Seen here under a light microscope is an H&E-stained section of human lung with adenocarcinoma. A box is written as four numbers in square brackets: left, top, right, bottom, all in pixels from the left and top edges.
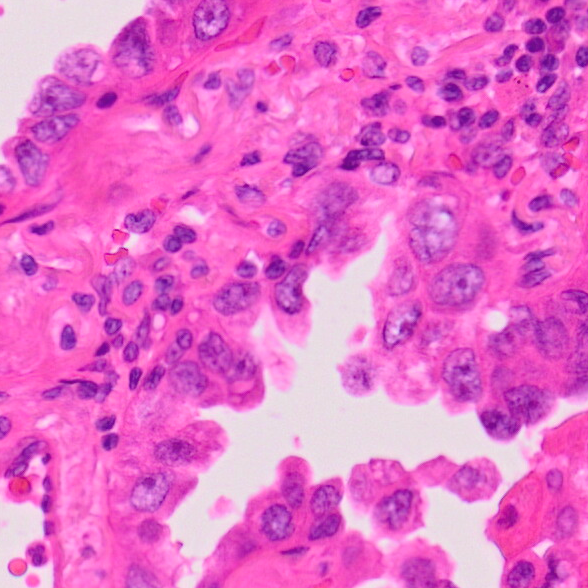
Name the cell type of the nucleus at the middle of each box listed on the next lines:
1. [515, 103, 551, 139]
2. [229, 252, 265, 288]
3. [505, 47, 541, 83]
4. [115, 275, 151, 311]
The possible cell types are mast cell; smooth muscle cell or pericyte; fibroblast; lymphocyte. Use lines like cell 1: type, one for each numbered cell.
cell 1: lymphocyte
cell 2: lymphocyte
cell 3: lymphocyte
cell 4: mast cell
